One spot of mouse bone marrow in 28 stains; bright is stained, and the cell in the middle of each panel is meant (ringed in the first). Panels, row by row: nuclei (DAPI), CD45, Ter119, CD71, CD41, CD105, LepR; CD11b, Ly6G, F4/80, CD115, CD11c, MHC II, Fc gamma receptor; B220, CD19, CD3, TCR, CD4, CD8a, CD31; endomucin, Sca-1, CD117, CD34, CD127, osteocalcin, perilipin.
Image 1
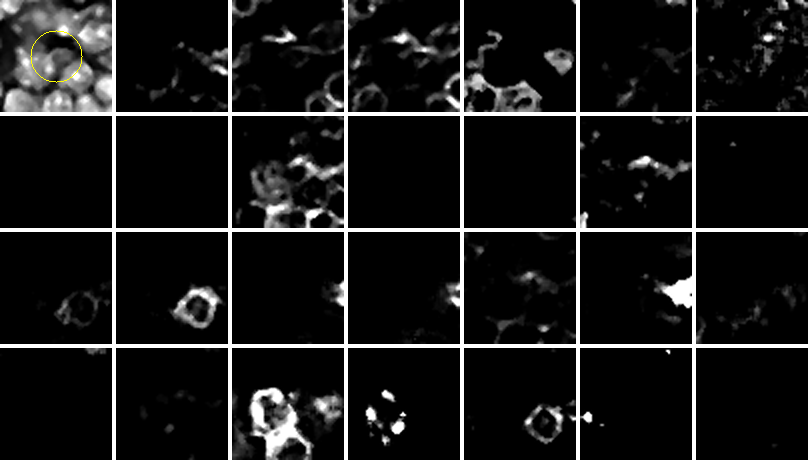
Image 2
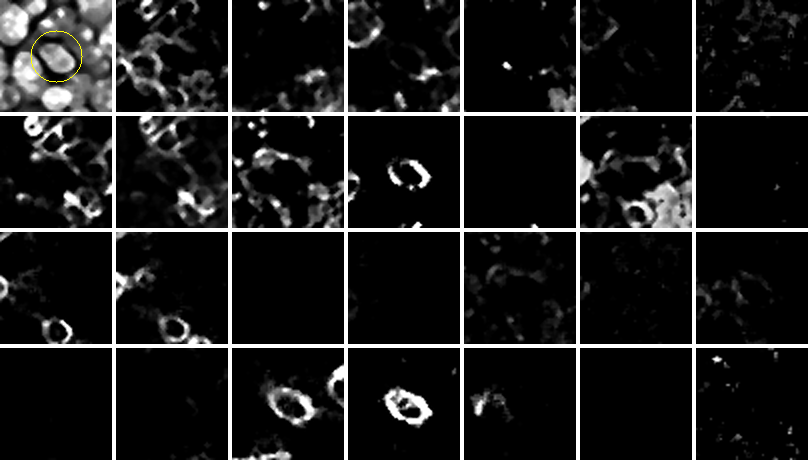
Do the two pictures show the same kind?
No: a megakaryocyte-erythroid progenitor, then a common myeloid progenitor.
